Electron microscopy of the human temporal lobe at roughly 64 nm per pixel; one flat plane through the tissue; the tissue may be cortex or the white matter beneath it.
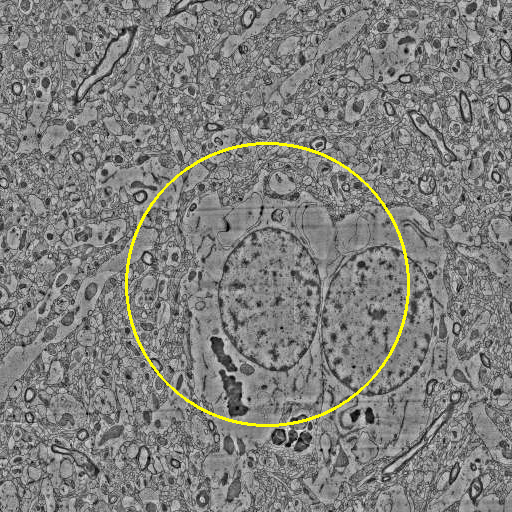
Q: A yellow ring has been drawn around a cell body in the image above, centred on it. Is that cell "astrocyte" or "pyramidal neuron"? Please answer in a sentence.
The ring surrounds the cell body of an astrocyte.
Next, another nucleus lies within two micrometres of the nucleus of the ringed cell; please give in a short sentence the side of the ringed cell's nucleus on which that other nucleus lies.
The second nucleus lies to the right of it.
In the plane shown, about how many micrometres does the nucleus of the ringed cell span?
The nucleus works out at approximately 9 by 7 micrometres in this plane.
